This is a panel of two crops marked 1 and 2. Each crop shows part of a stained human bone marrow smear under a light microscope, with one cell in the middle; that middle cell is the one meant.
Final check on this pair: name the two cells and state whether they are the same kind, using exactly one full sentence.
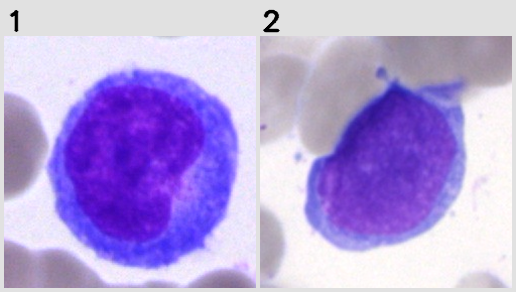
Yes, both crops show blasts in their central position.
